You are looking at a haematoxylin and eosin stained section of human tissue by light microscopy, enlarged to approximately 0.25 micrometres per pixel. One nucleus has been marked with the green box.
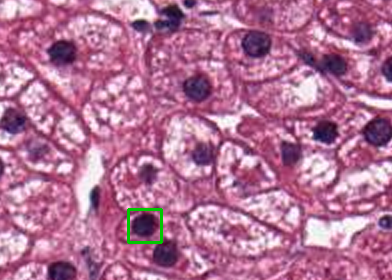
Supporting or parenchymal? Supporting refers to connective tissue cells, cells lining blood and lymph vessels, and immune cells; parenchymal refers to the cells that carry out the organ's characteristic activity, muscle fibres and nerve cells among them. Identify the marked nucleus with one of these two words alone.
parenchymal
